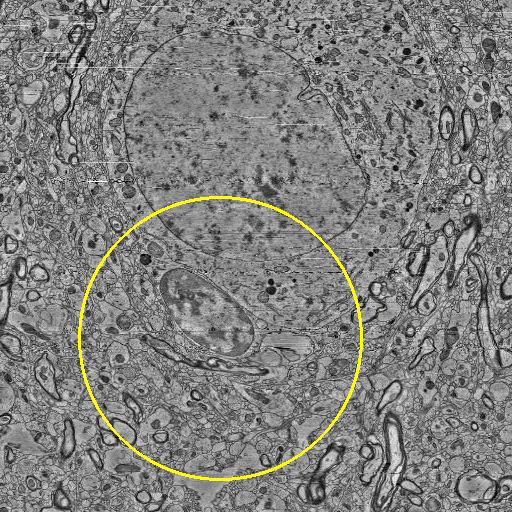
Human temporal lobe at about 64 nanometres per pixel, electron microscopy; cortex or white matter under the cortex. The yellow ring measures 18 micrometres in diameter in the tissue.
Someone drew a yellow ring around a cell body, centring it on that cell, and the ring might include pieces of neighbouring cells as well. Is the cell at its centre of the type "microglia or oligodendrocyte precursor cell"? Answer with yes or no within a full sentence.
Yes, within the picture, the cell the ring is centred on qualifies as that type.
